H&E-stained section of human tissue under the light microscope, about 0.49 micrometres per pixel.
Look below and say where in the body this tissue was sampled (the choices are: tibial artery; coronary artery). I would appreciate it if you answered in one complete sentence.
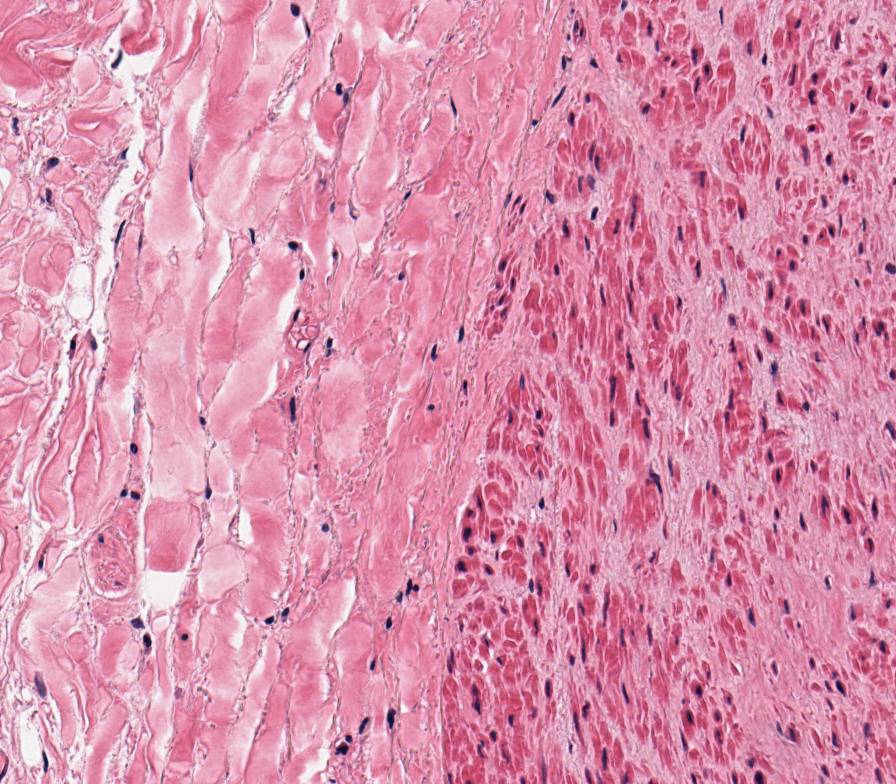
This tissue sample was collected from the coronary artery.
